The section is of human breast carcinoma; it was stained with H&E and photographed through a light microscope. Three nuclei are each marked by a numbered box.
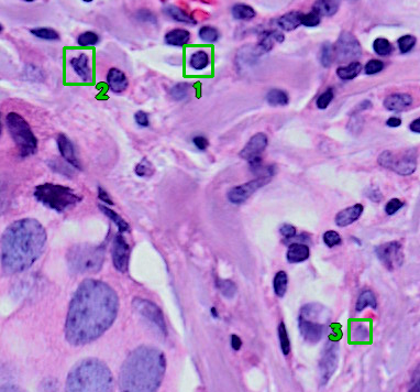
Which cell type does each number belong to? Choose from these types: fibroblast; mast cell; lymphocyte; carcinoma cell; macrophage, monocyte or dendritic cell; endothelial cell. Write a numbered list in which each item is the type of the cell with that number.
1. lymphocyte
2. lymphocyte
3. endothelial cell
